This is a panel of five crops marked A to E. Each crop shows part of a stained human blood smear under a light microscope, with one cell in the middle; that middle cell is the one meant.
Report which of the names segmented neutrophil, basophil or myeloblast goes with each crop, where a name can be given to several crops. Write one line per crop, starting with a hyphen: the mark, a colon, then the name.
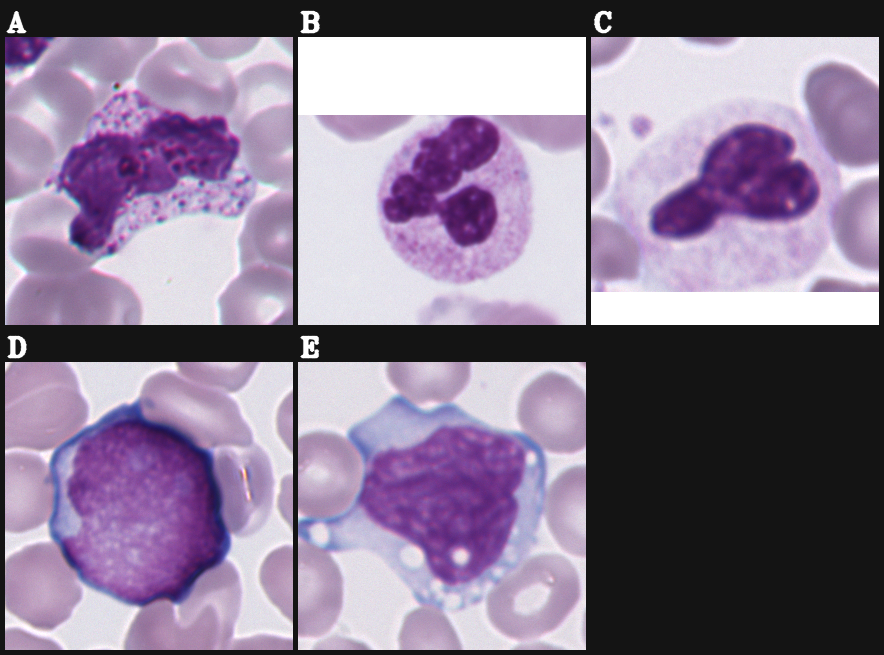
- A: basophil
- B: segmented neutrophil
- C: segmented neutrophil
- D: myeloblast
- E: myeloblast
